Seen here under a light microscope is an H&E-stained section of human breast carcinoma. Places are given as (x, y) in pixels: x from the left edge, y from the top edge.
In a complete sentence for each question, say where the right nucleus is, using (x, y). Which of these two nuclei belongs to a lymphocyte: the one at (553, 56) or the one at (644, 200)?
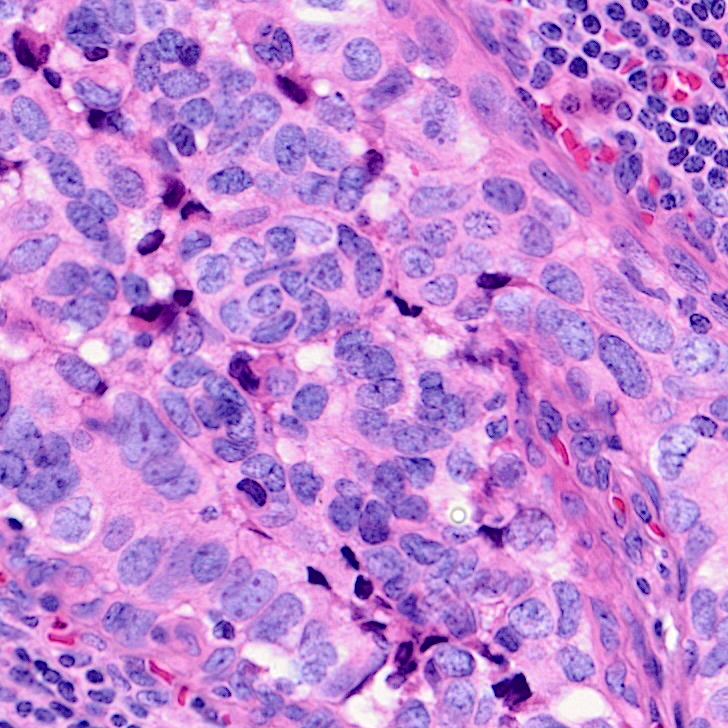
Heads up, the nucleus at (553, 56) is the one that belongs to a lymphocyte.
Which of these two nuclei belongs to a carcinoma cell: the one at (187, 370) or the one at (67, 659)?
Between the two nuclei, the one sitting at (187, 370) belongs to a carcinoma cell.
